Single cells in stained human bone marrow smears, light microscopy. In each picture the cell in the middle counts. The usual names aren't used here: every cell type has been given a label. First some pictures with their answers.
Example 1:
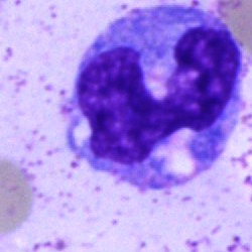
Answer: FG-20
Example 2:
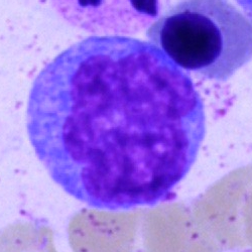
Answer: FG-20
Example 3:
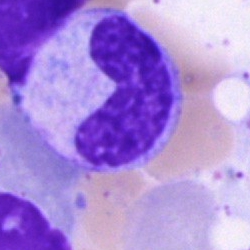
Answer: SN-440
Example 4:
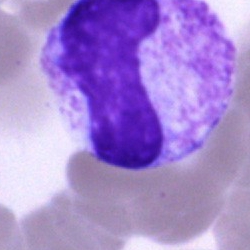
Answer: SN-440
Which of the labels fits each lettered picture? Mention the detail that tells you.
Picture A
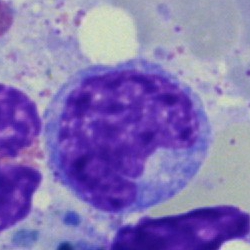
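FG-20: The nucleus fills most of the cell.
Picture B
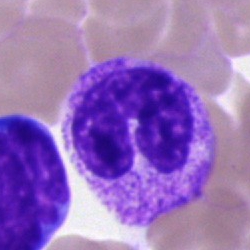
SN-440: Fine purple granules are scattered throughout the cytoplasm.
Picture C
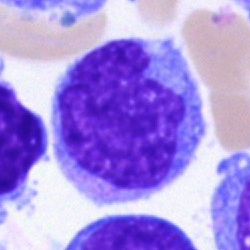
FG-20: The cytoplasm forms a narrow rim around the nucleus, widest at the upper right.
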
